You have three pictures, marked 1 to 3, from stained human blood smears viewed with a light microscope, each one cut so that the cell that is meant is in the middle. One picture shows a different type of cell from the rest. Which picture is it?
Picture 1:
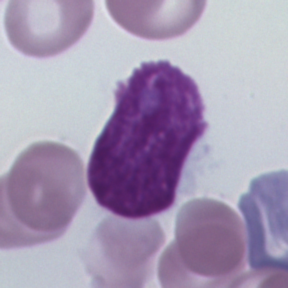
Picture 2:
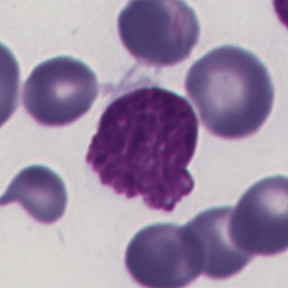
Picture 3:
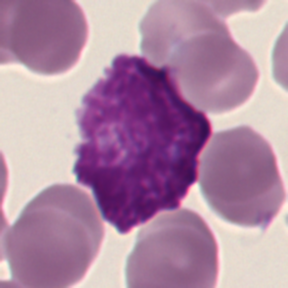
2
